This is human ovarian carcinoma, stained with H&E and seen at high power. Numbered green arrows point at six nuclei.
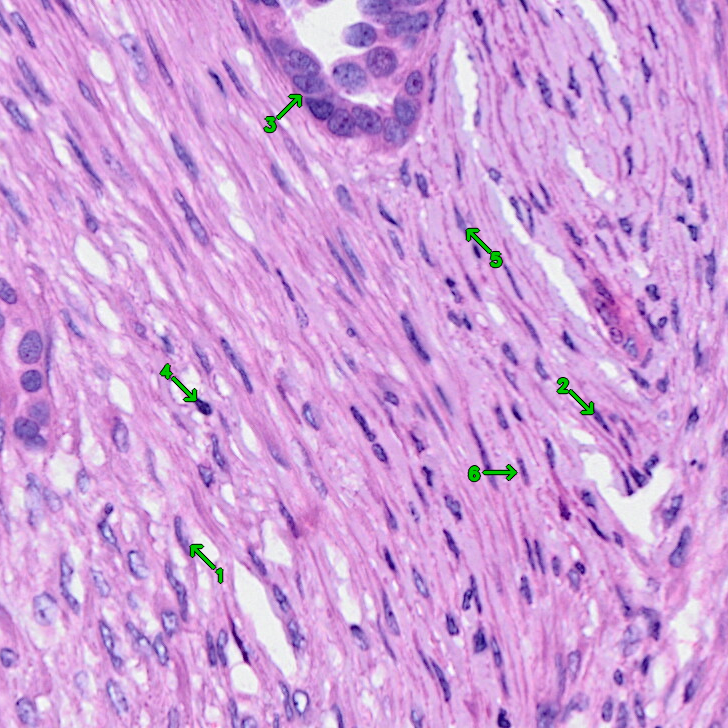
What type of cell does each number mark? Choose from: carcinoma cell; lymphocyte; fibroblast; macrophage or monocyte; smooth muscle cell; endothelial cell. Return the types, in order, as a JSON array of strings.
["fibroblast", "fibroblast", "carcinoma cell", "lymphocyte", "fibroblast", "fibroblast"]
